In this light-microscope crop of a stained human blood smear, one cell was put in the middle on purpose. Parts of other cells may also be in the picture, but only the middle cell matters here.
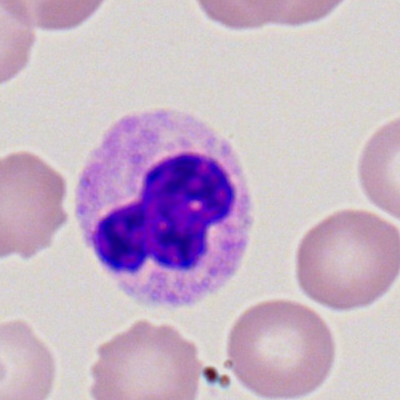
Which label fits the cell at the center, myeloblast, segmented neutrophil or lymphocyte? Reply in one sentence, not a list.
The cell found in the middle of this crop is a segmented neutrophil.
